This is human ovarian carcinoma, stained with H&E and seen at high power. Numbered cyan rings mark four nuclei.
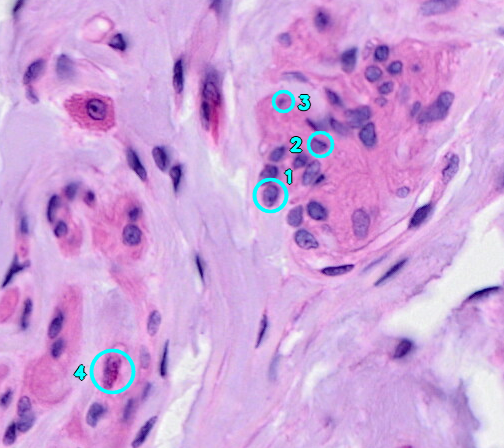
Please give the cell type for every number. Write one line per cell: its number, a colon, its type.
1: smooth muscle cell
2: smooth muscle cell
3: smooth muscle cell
4: endothelial cell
